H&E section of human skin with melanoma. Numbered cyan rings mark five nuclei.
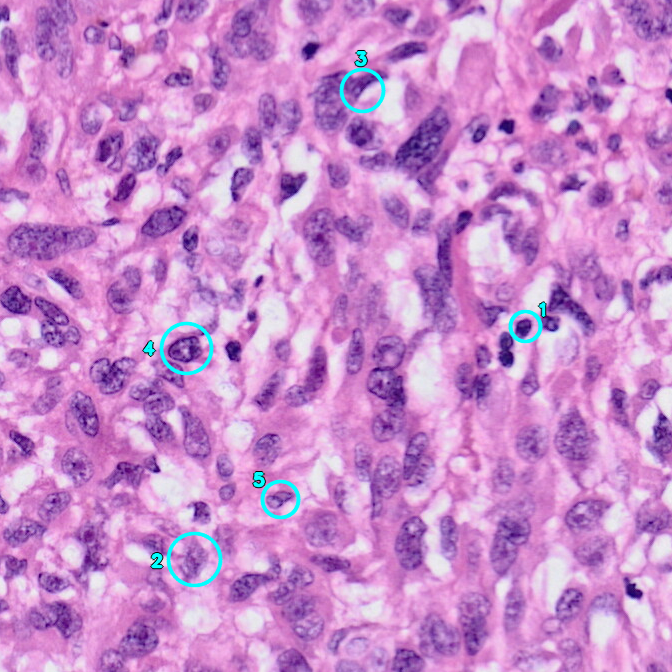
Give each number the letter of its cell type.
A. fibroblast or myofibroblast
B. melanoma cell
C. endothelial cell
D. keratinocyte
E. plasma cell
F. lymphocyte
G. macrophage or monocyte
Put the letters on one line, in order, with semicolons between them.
F; B; B; B; G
